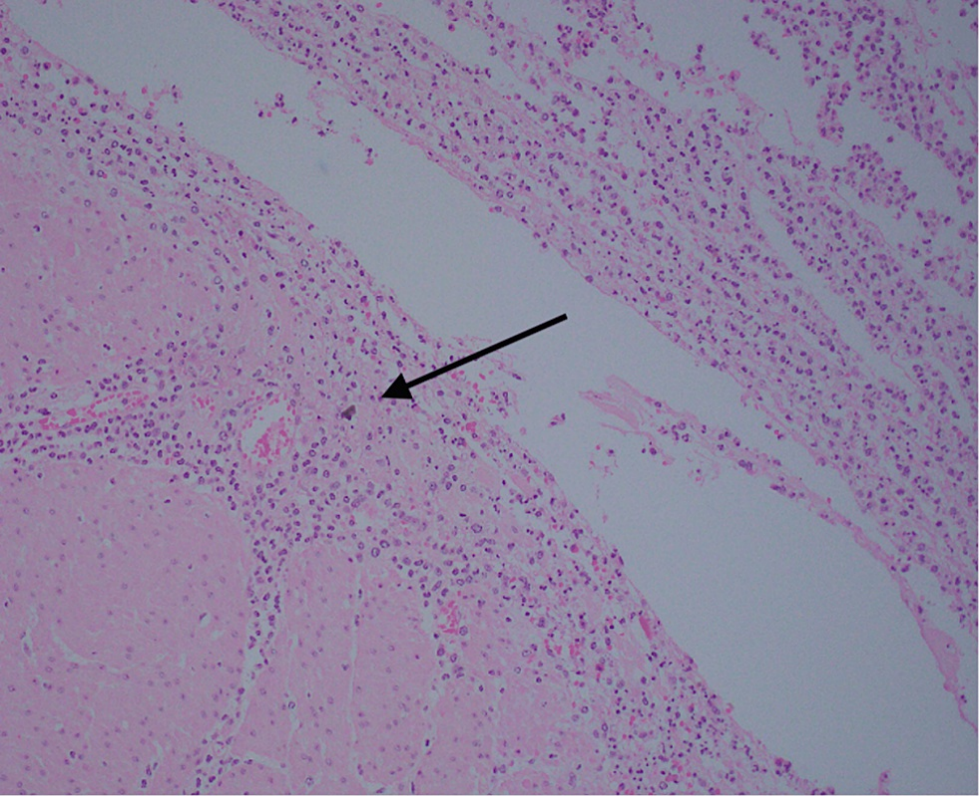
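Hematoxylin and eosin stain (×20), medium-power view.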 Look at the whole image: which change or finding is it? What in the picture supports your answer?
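Acute serositis. The outer surface of the tissue is covered by a thick band of inflammatory cells. Loose inflammatory exudate lies detached beyond the surface. Congested red blood vessels sit within the inflamed surface layer.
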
